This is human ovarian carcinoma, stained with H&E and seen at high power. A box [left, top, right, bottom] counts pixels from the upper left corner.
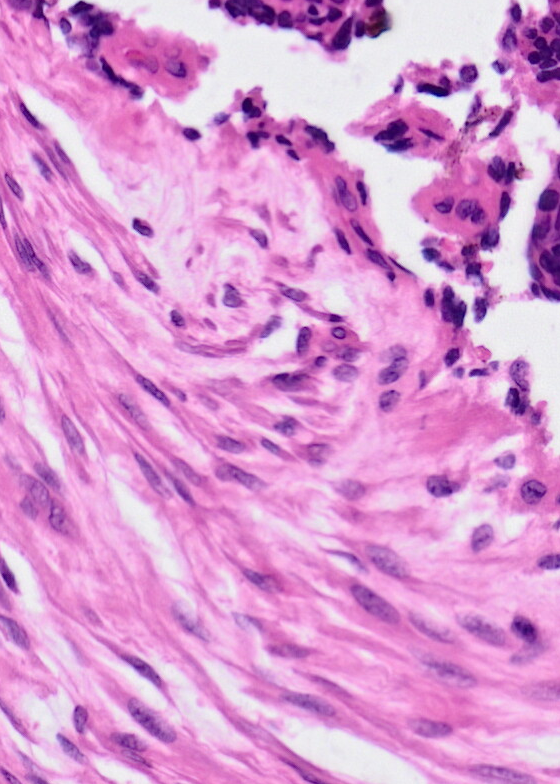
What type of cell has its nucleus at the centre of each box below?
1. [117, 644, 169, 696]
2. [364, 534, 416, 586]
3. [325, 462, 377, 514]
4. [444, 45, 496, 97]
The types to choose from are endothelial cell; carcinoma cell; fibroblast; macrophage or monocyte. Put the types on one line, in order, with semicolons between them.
fibroblast; fibroblast; fibroblast; carcinoma cell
